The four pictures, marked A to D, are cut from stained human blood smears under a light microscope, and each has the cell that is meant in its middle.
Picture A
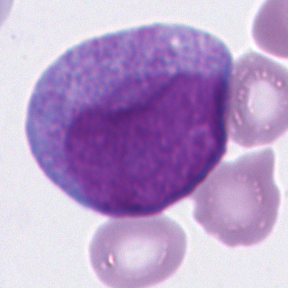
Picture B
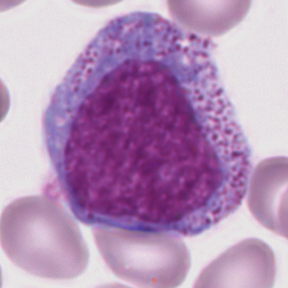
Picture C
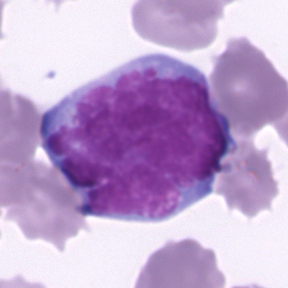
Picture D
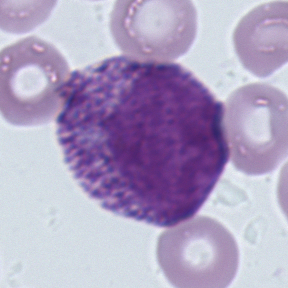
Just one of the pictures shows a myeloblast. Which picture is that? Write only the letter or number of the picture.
C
